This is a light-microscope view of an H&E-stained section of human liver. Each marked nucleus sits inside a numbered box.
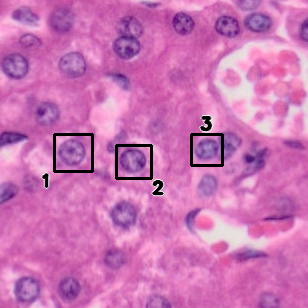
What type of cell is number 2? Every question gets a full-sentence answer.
Here the cell numbered 2 is a hepatocyte.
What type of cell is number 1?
The cell given label 1 is a hepatocyte.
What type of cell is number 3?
Classified as a cholangiocyte is the cell with the number 3.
